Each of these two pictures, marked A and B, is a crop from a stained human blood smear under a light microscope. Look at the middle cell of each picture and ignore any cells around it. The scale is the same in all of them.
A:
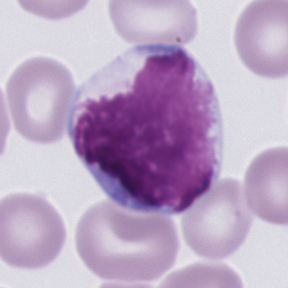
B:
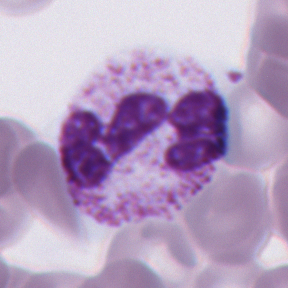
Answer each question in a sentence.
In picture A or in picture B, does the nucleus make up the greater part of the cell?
It is the cell in picture A that is filled more by its nucleus.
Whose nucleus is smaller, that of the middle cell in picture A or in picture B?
The nucleus in picture B is smaller; the one in picture A has about 1.5 times its area.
